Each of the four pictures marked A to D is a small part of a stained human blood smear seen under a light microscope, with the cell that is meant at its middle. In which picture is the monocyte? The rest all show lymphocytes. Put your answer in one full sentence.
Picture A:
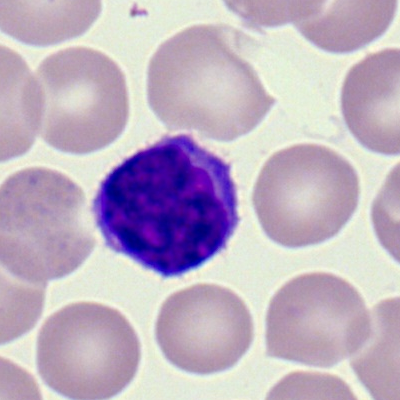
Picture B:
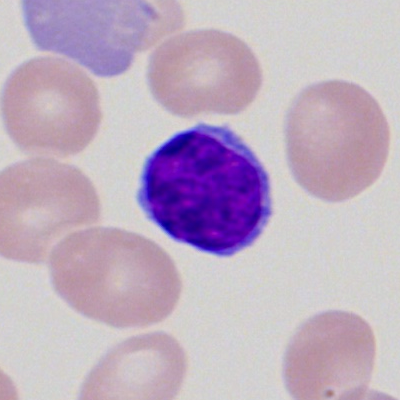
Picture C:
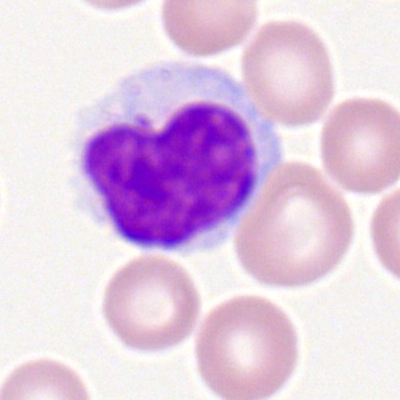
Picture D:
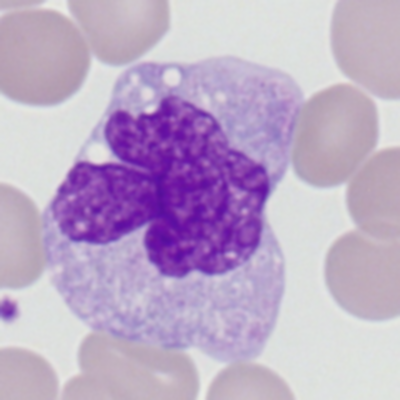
It is picture D that shows the monocyte.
